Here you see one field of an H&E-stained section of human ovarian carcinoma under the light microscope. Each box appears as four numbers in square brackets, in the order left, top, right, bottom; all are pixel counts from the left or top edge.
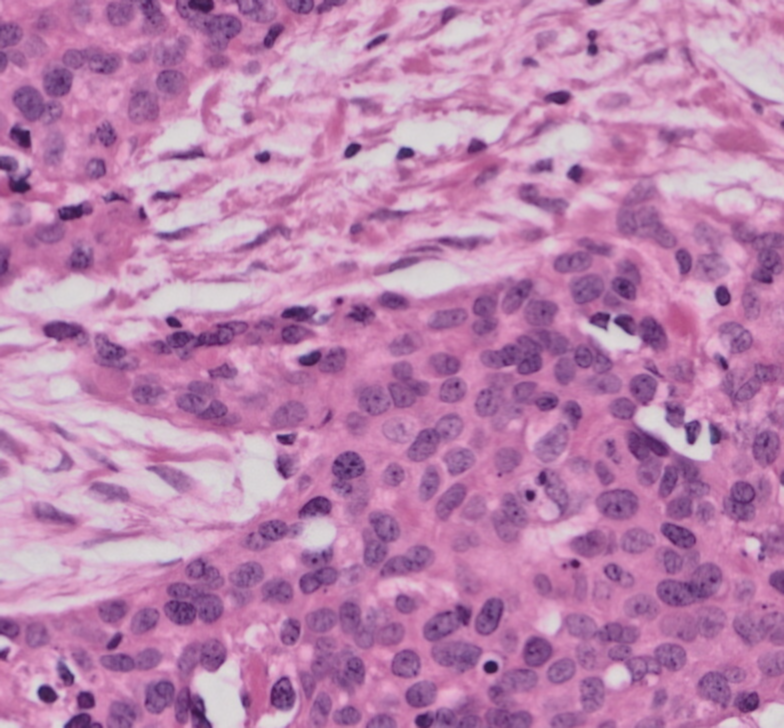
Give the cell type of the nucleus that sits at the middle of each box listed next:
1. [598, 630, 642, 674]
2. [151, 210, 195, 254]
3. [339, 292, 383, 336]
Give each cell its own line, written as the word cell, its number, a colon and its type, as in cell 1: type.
cell 1: carcinoma cell
cell 2: fibroblast
cell 3: macrophage or monocyte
